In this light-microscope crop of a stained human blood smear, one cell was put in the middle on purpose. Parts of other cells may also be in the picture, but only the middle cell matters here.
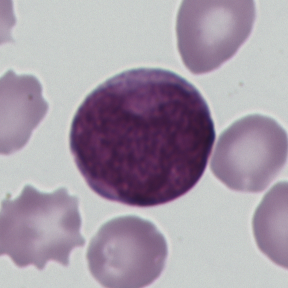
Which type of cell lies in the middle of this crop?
myeloblast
